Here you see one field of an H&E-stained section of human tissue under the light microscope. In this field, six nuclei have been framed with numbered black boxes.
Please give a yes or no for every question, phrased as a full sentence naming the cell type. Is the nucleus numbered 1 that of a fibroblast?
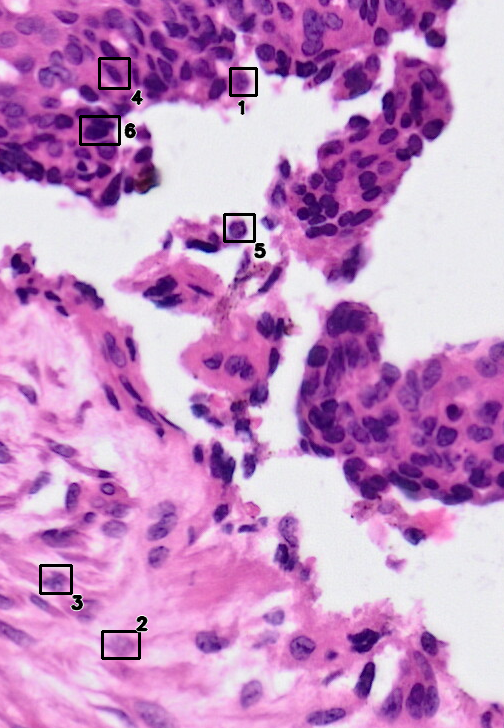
No, cell 1 is not a fibroblast: it is a carcinoma cell.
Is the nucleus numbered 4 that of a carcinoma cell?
Yes, the cell pointed out as number 4 is a carcinoma cell.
